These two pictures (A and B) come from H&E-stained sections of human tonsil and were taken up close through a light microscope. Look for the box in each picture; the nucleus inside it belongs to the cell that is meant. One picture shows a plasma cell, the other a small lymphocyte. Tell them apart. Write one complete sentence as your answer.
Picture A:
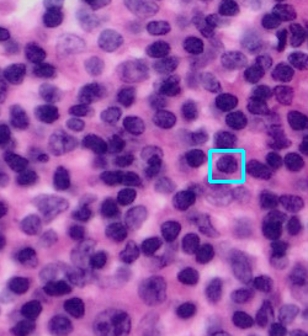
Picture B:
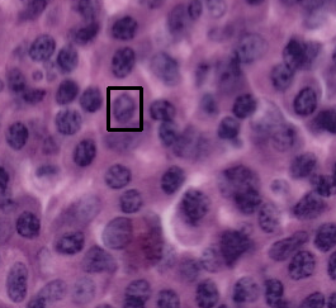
The cell in picture A is a small lymphocyte, and the one in picture B is a plasma cell.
